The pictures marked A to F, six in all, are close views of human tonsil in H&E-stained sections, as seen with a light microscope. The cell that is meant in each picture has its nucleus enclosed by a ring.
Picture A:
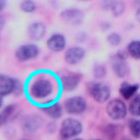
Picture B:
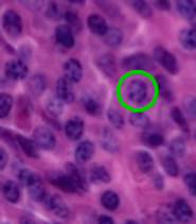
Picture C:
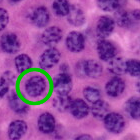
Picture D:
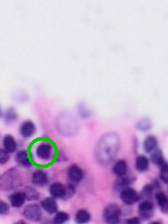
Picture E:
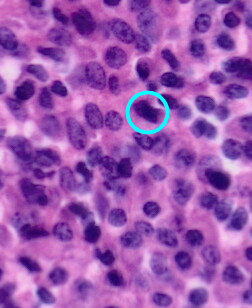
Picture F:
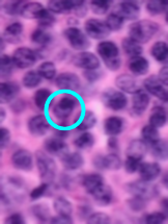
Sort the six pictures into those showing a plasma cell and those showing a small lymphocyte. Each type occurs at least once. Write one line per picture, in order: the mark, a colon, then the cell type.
A: small lymphocyte
B: plasma cell
C: plasma cell
D: small lymphocyte
E: plasma cell
F: small lymphocyte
